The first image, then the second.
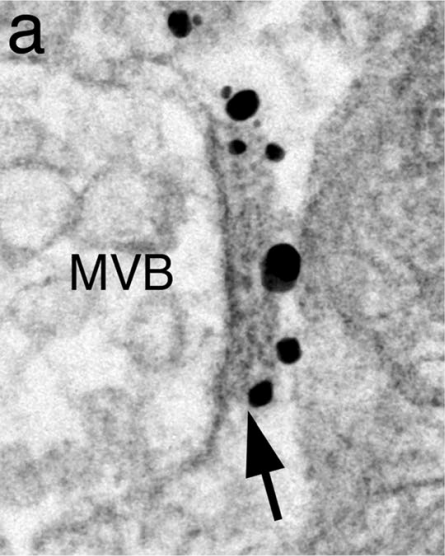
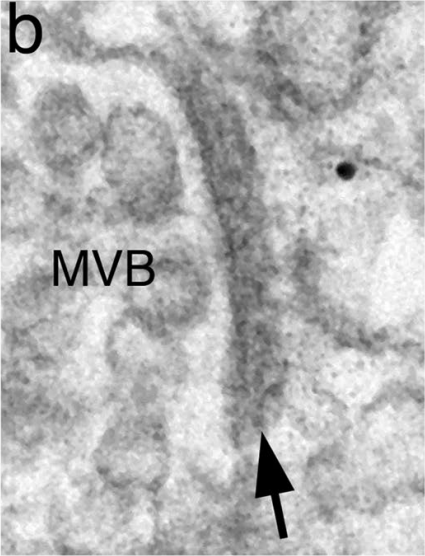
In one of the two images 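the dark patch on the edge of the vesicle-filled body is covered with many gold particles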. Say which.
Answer: the first image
